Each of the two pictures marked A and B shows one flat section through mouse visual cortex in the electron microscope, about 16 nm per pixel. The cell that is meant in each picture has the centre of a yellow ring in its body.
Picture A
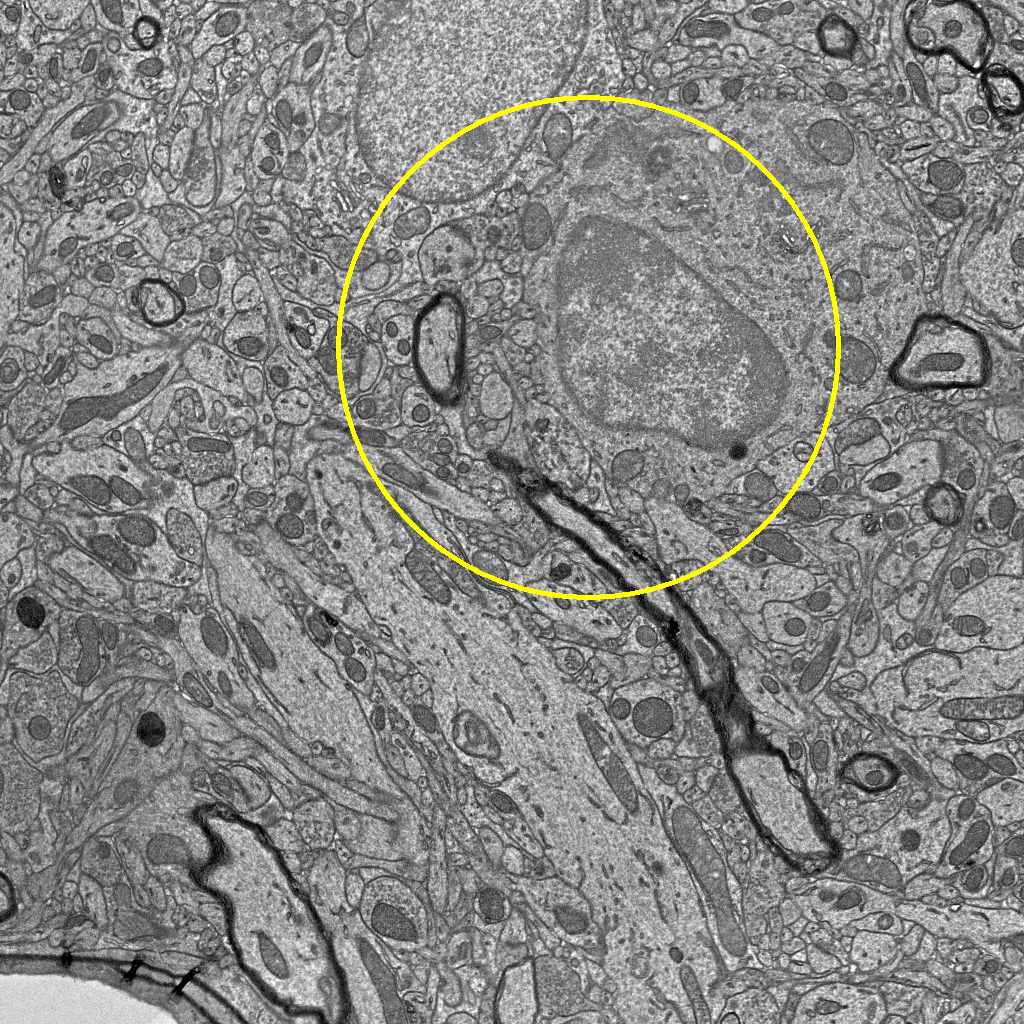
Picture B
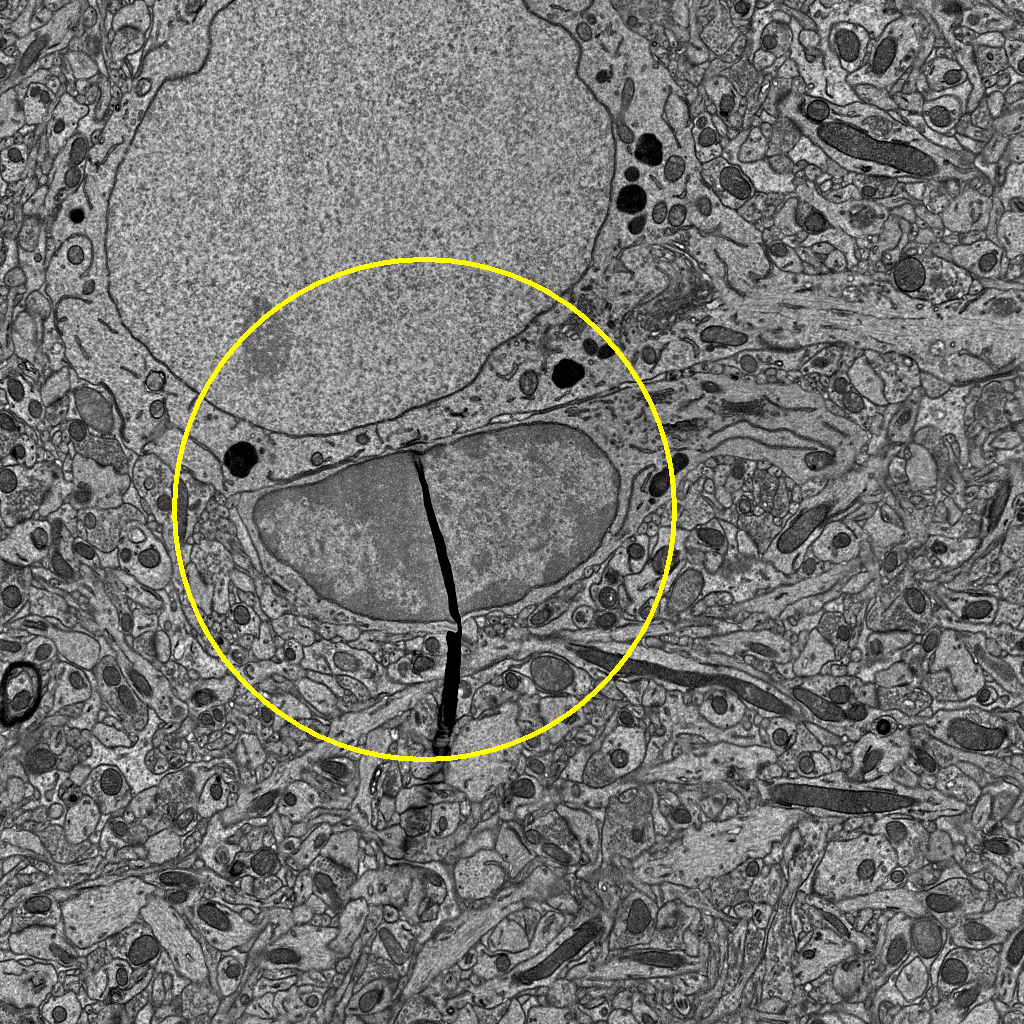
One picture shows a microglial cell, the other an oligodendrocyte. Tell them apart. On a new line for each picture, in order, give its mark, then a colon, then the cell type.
A: oligodendrocyte
B: microglial cell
